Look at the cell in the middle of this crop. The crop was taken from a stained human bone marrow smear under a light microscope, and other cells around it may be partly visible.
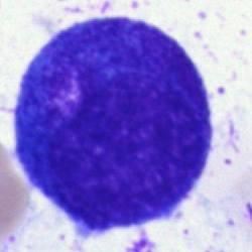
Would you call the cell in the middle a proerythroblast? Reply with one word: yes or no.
no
